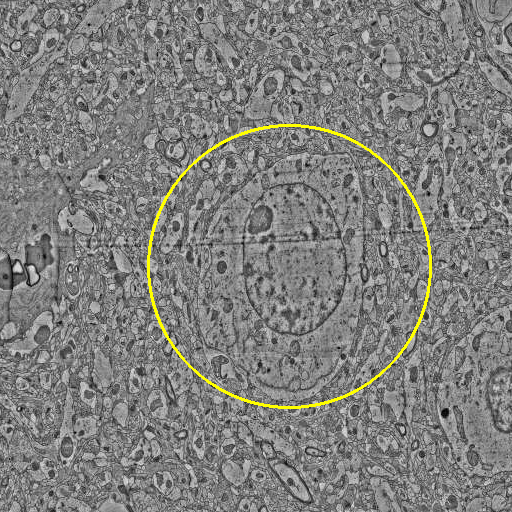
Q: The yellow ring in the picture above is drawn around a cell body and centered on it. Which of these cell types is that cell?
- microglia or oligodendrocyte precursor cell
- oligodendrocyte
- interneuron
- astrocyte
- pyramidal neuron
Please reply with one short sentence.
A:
The cell body at the ring's center belongs to a pyramidal neuron.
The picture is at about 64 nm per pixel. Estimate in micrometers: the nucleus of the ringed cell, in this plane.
About 10 by 7 micrometres in this plane.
